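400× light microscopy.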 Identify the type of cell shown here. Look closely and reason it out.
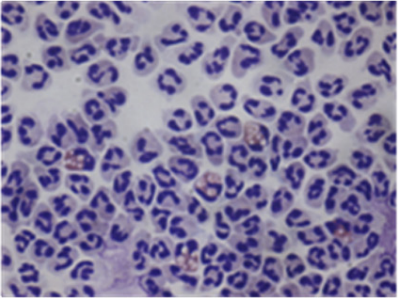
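Neutrophils. Densely packed round cells of similar size. Dark purple nuclei divided into several connected lobes. Pale lilac cytoplasm without coarse granules in most cells.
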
